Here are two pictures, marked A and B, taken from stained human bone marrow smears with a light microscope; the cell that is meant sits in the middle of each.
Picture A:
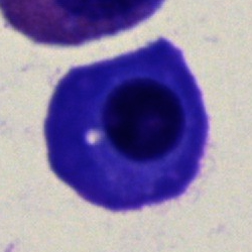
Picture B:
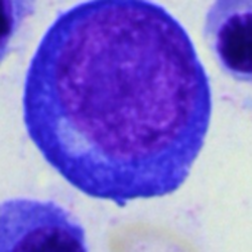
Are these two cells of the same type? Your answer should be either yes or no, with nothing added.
no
